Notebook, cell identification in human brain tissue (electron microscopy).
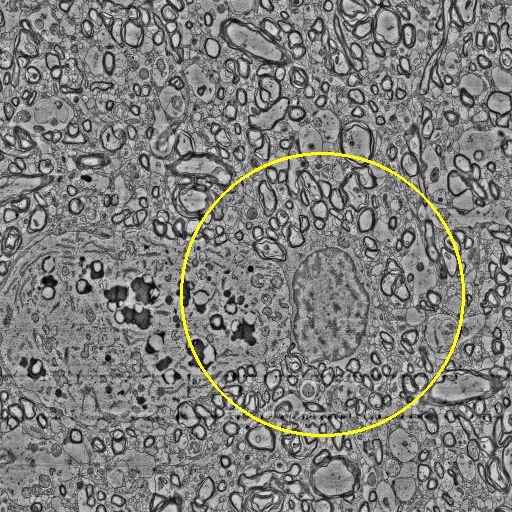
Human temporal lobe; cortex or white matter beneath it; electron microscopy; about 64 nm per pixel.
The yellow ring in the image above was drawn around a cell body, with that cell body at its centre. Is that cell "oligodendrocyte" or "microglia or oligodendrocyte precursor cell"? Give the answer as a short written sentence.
The cell in the ring is an oligodendrocyte.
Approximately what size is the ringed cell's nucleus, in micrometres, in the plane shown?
The nucleus appears roughly 7 by 5 micrometres in this plane.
